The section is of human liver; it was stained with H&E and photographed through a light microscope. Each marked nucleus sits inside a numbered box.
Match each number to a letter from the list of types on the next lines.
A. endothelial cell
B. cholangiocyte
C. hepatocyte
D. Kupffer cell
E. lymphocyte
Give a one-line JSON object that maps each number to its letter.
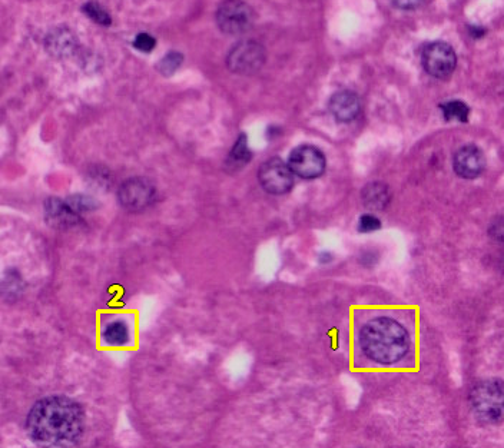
{"1": "C", "2": "E"}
